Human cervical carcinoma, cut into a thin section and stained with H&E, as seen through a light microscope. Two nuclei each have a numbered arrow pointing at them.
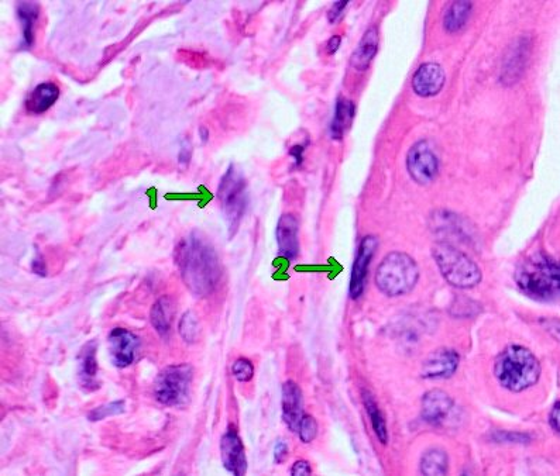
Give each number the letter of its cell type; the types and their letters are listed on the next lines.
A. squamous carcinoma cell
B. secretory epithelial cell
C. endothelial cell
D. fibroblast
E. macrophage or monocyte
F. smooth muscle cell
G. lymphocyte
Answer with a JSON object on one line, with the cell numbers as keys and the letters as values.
{"1": "D", "2": "A"}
